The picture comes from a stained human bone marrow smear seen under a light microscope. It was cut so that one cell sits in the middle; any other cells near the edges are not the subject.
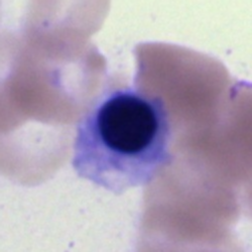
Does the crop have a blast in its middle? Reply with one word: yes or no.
no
